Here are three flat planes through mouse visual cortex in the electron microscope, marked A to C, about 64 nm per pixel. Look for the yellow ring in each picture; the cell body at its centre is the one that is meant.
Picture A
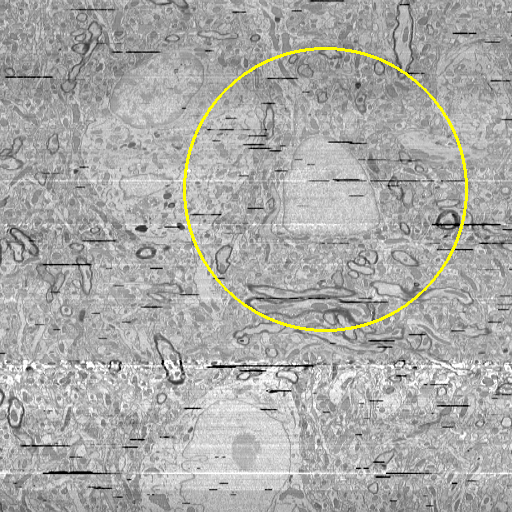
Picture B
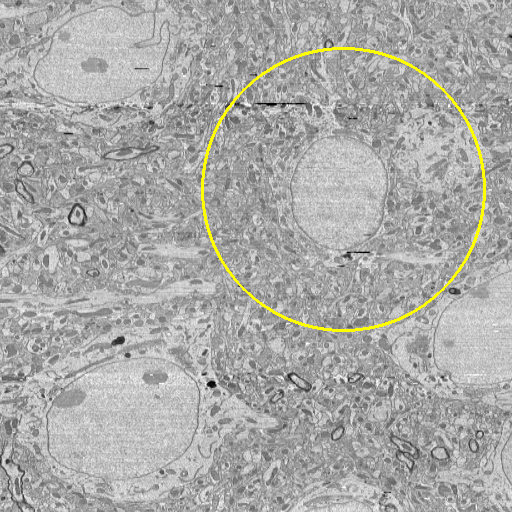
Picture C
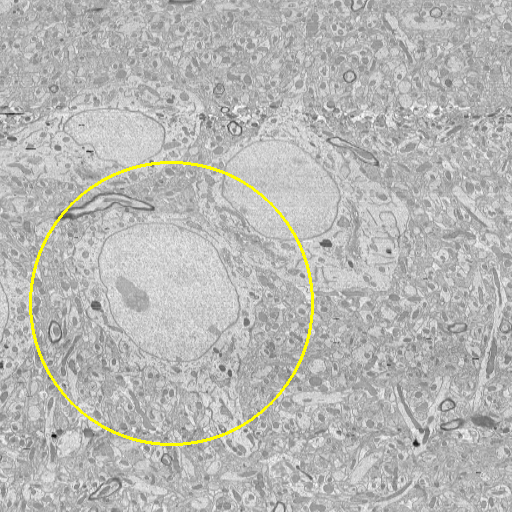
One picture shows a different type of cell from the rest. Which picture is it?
The others show astrocytes, but picture C shows an excitatory neuron.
